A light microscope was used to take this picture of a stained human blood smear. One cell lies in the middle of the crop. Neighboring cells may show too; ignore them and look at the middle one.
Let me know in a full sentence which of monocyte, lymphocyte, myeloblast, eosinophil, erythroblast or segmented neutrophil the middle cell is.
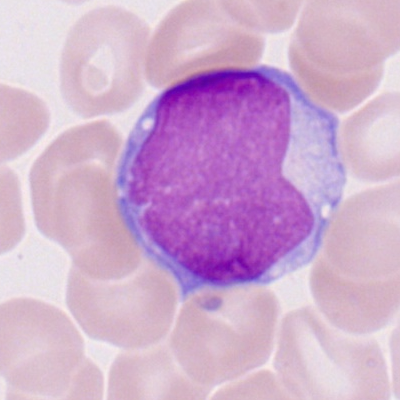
The cell marked by its central position in the crop is a myeloblast.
